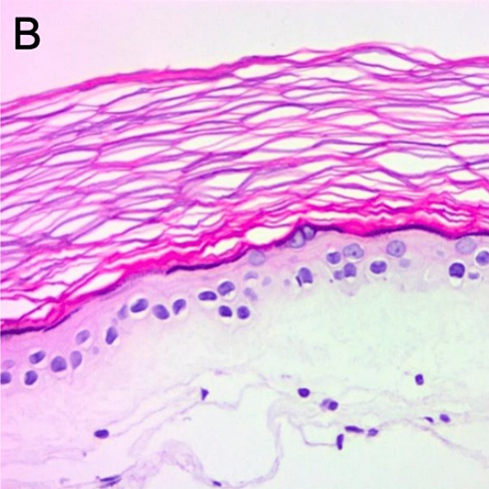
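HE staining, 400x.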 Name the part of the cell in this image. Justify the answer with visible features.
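Keratohyaline granules. A thin, dark purple band lies at the junction of the epithelium with the pink keratin layers.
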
